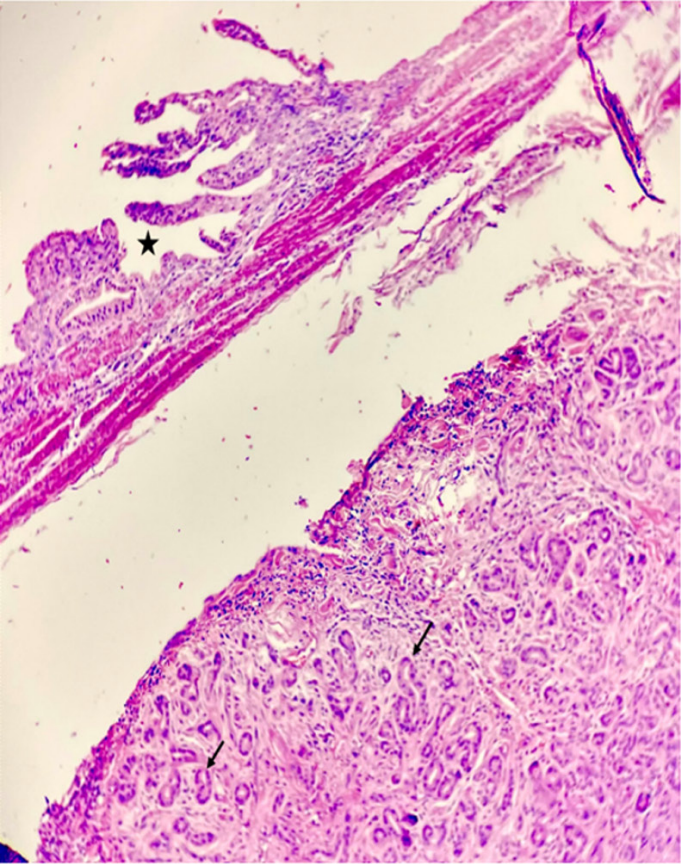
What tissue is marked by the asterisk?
Gallbladder wall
